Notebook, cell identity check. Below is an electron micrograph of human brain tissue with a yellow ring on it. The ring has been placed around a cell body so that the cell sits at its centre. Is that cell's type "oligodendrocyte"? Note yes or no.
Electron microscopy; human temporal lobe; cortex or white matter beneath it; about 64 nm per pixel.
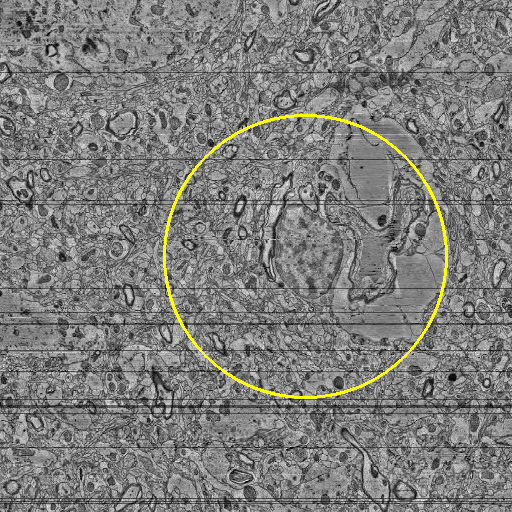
Yes, that is its cell type.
